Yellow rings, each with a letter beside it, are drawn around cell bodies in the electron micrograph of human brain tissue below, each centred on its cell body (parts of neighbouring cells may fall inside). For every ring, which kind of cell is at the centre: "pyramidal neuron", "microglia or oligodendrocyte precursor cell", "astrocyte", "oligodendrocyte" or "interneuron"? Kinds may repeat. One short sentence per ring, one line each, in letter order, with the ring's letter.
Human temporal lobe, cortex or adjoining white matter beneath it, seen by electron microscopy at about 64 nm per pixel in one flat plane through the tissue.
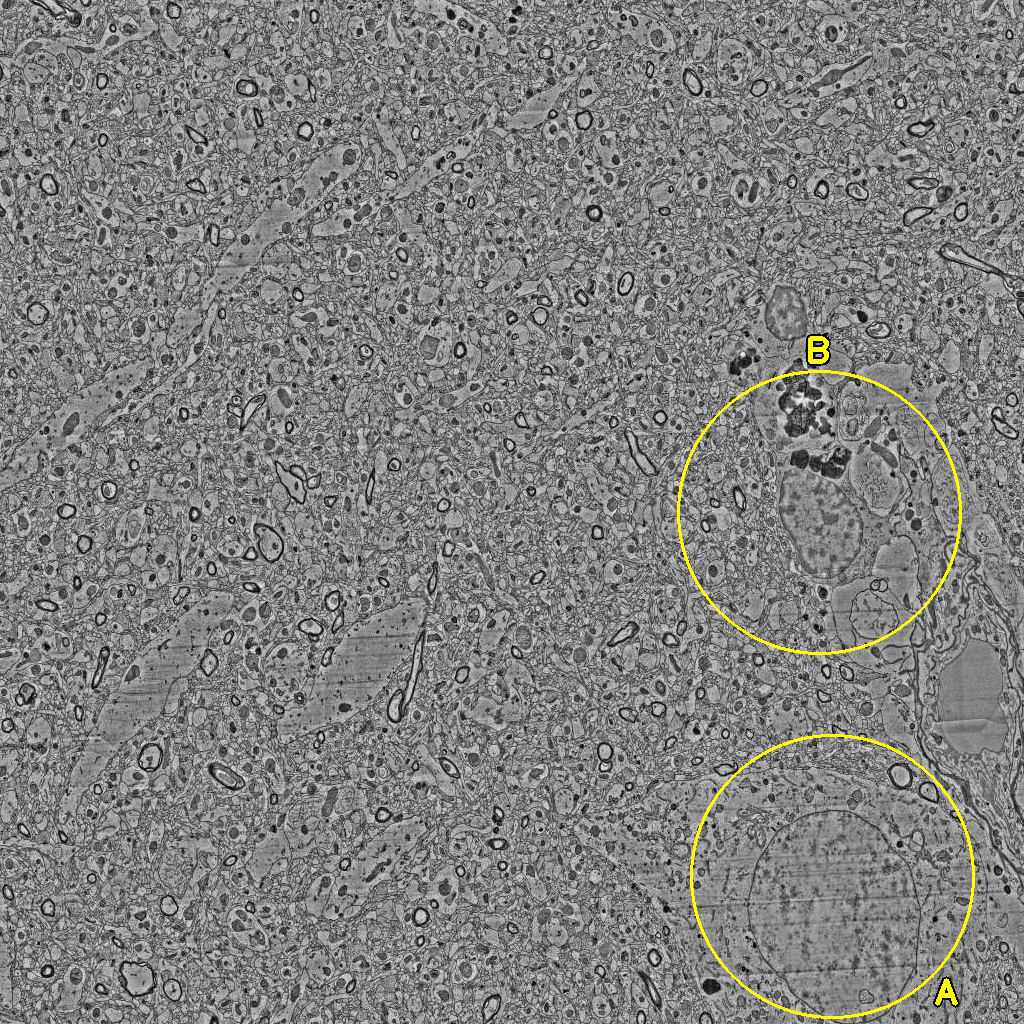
The cell in ring A is a pyramidal neuron.
The cell in ring B is an oligodendrocyte.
